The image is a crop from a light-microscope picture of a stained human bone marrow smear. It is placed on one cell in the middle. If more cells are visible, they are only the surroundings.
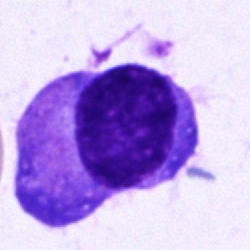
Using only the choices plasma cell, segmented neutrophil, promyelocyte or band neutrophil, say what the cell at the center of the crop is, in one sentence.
The cell positioned in the middle of the field is a plasma cell.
